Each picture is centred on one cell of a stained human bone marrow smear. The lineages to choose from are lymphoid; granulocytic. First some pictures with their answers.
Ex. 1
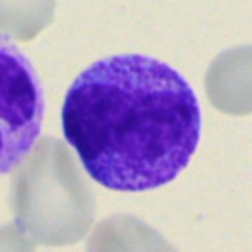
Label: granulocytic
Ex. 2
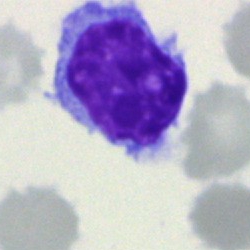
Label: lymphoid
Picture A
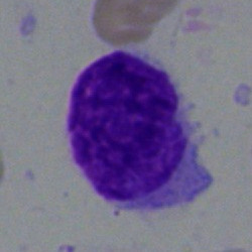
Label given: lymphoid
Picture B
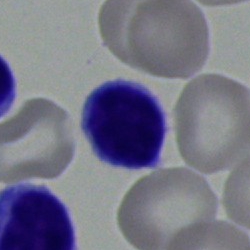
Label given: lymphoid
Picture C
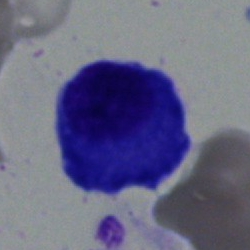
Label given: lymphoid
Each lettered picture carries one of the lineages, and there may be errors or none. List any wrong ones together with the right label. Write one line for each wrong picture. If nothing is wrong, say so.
All labels are correct.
